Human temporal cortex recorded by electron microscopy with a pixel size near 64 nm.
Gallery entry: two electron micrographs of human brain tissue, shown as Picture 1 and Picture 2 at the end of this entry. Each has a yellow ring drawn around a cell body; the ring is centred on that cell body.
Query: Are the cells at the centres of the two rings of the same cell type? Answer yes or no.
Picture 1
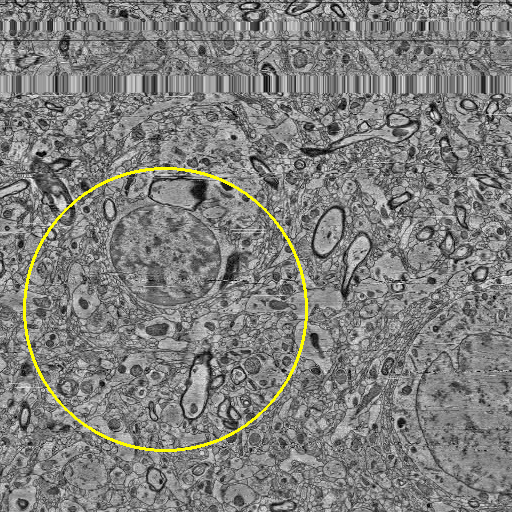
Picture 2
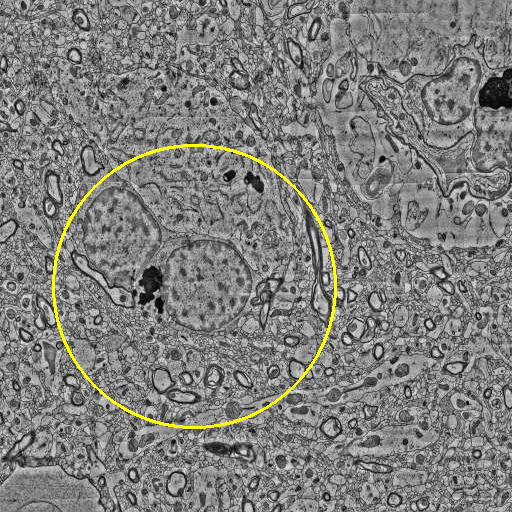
yes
